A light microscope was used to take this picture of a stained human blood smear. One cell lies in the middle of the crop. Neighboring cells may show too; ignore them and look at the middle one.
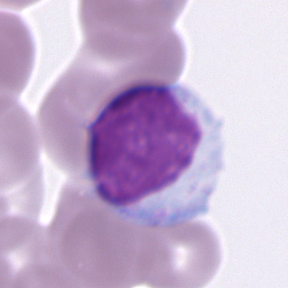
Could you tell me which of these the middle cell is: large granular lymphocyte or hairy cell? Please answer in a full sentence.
The middle of this crop holds a large granular lymphocyte.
